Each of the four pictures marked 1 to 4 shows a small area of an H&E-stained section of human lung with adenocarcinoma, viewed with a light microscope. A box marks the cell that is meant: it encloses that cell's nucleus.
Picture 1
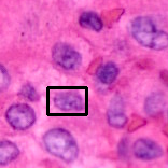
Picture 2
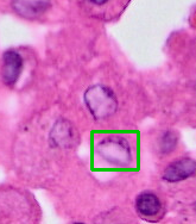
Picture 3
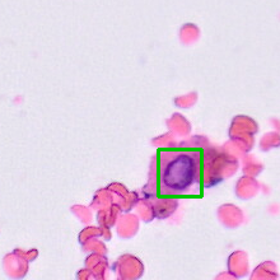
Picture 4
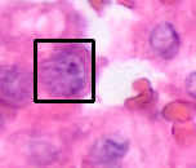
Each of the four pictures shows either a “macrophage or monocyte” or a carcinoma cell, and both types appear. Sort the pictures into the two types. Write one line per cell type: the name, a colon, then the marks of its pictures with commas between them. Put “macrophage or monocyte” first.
macrophage or monocyte: 1, 2, 3
carcinoma cell: 4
